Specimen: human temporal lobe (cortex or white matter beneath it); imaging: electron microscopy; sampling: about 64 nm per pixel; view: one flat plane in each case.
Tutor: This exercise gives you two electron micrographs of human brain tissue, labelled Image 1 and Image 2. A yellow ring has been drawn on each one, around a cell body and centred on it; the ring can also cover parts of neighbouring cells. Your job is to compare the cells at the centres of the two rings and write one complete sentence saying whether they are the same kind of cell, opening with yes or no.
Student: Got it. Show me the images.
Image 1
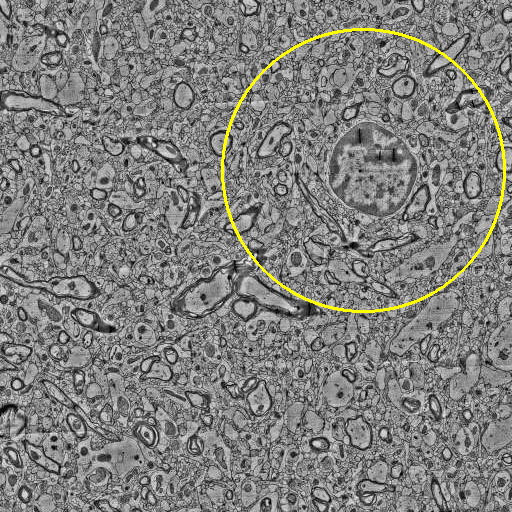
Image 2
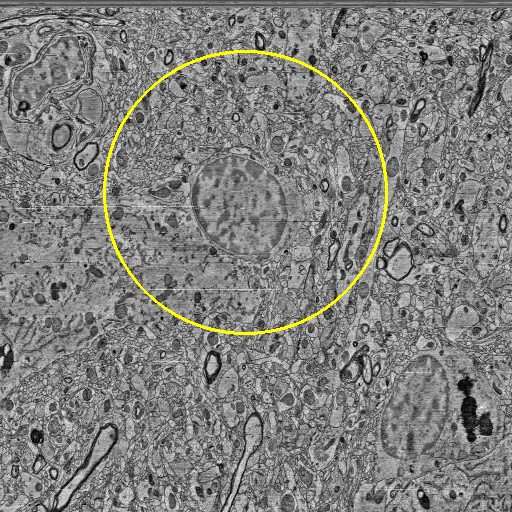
No, the two cells belong to two kinds.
